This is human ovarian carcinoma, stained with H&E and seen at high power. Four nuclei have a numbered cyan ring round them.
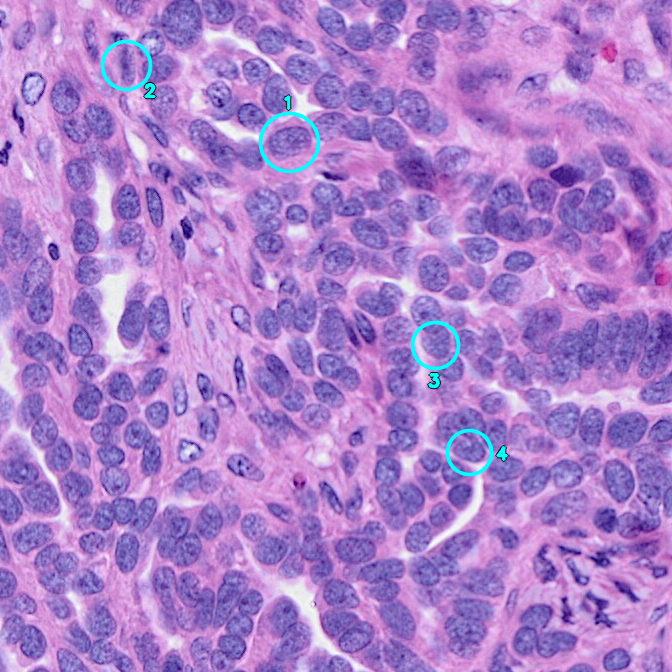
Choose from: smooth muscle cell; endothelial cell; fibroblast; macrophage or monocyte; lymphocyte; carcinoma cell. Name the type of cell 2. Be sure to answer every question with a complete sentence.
The cell indicated with the number 2 is classed as a fibroblast.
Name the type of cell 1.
The nucleus labelled 1 belongs to a carcinoma cell.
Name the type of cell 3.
The cell pointed out by number 3 is a carcinoma cell.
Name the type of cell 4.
The marked cell bearing number 4 is a carcinoma cell.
